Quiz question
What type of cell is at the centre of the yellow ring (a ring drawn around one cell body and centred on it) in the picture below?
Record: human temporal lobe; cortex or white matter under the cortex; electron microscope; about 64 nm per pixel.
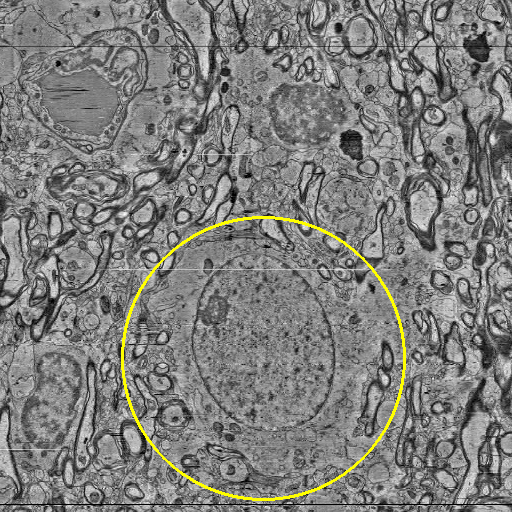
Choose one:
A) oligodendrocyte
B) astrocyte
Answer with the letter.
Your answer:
B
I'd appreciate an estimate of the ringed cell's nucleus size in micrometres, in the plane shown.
The nucleus appears roughly 12 by 9 micrometres in this plane.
